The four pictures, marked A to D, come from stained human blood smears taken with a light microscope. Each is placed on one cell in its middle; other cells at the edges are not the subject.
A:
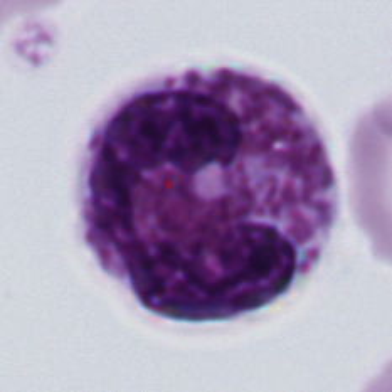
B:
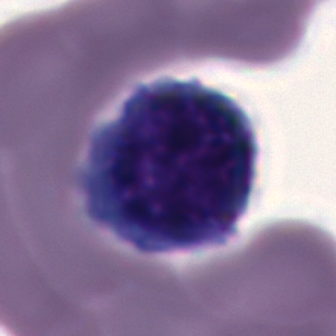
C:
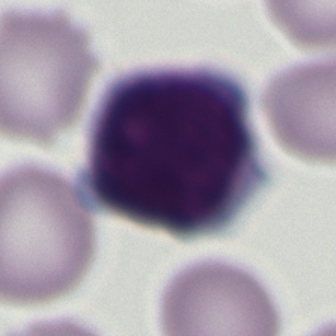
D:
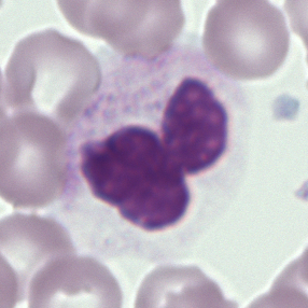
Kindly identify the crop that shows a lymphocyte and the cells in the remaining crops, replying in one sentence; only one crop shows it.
The central cell in crop C is a lymphocyte, whereas crop A is an eosinophil, crop B is a plasma cell and crop D is a neutrophil.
